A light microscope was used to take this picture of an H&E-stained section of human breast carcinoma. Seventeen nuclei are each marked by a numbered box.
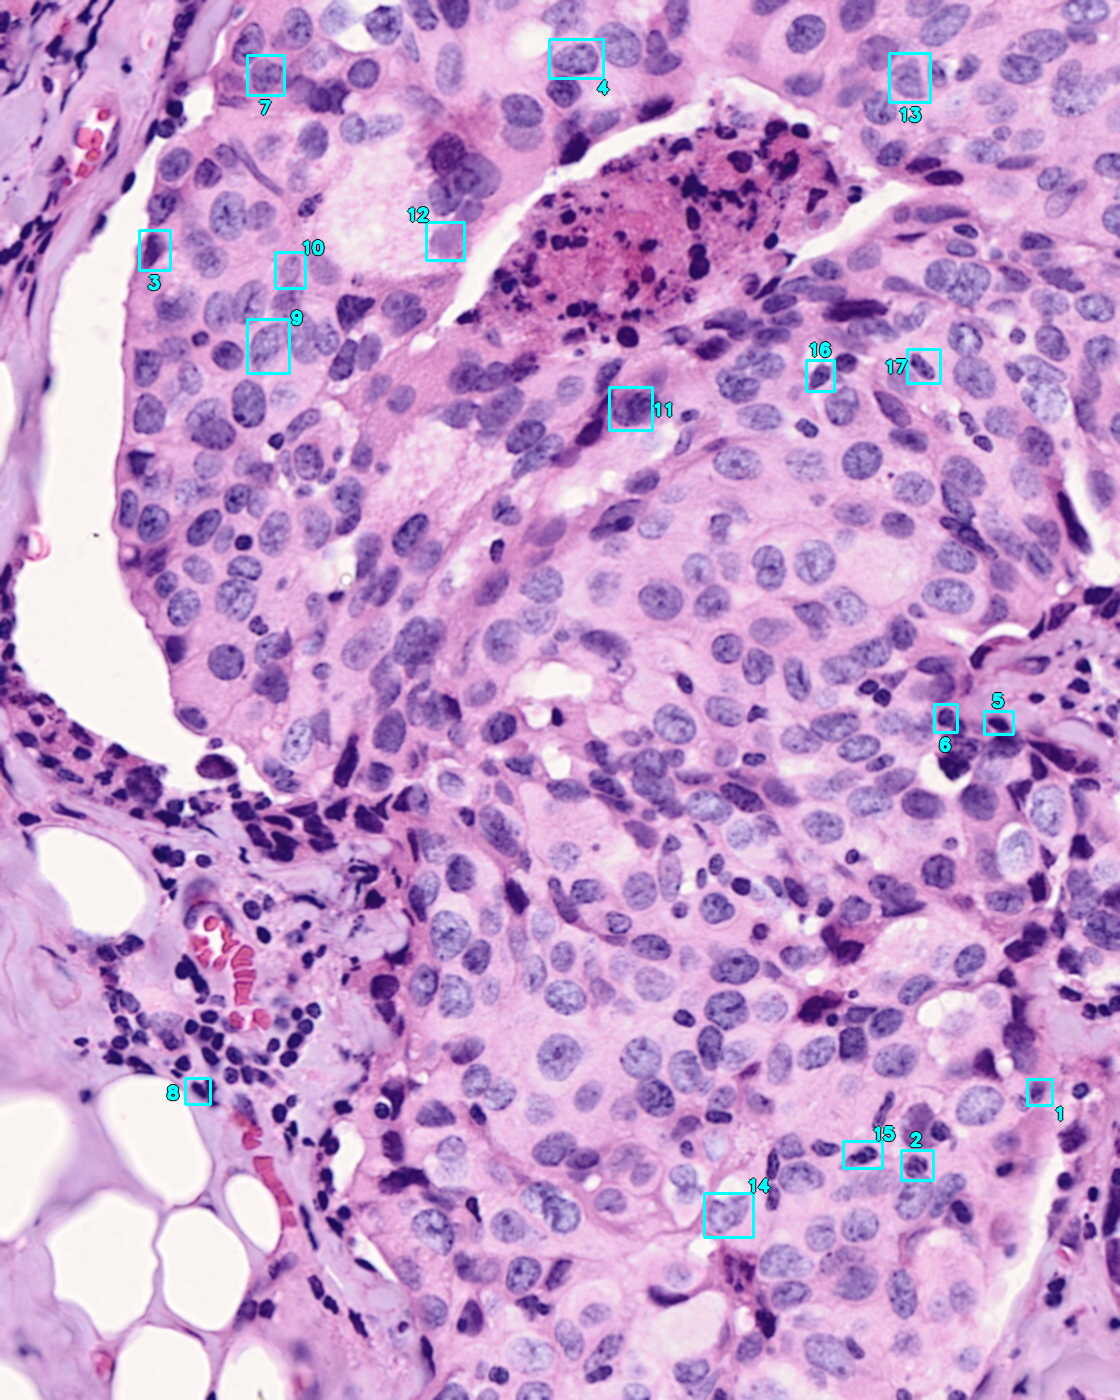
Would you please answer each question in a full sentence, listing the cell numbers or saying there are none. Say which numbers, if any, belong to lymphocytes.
The cells that bear the numbers 1, 2, 5, 6, 8, 15, 16 and 17 are lymphocytes.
